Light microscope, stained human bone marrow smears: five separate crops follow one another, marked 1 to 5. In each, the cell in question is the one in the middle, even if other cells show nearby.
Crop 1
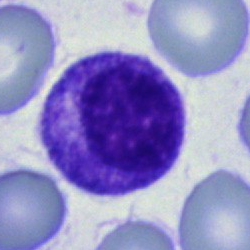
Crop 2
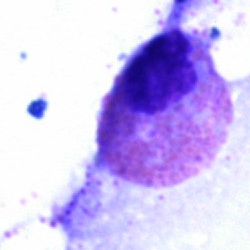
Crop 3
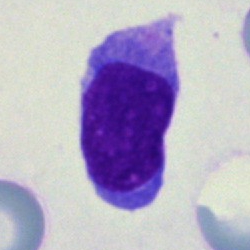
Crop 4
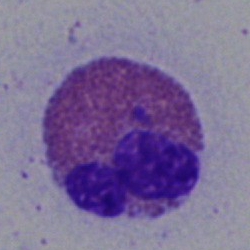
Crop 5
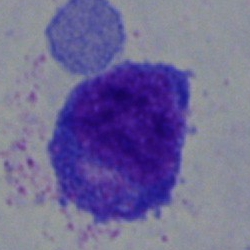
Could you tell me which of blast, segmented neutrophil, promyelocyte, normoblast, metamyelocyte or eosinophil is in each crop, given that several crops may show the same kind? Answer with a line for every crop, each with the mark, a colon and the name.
1: promyelocyte
2: eosinophil
3: blast
4: eosinophil
5: promyelocyte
